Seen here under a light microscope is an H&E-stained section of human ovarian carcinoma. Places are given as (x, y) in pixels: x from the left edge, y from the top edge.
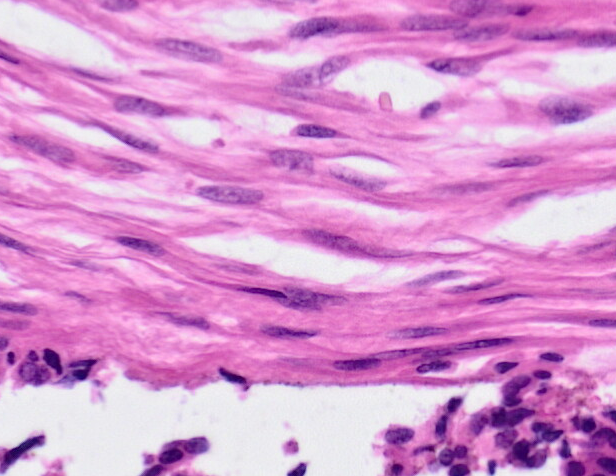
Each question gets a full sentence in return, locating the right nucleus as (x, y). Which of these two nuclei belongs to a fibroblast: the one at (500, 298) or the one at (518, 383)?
Answering which nucleus it is: the one at (500, 298), belonging to a fibroblast.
